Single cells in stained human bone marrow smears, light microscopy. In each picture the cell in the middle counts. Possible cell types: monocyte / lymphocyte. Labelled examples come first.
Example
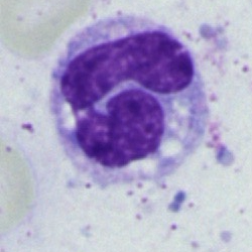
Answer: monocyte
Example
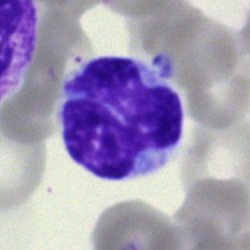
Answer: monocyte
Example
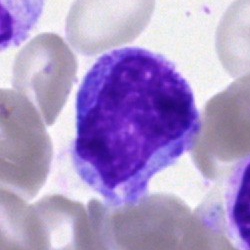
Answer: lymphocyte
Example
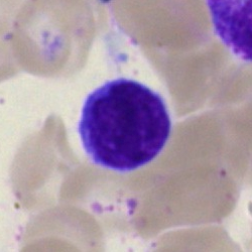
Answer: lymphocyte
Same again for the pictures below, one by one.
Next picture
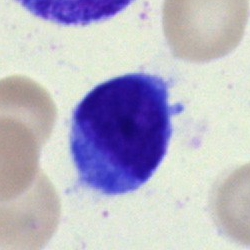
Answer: lymphocyte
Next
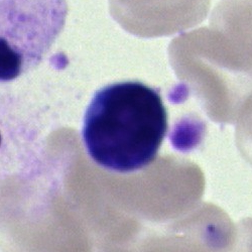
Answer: lymphocyte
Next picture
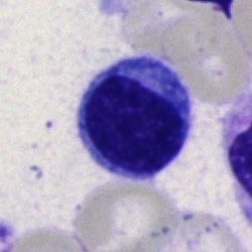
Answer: lymphocyte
